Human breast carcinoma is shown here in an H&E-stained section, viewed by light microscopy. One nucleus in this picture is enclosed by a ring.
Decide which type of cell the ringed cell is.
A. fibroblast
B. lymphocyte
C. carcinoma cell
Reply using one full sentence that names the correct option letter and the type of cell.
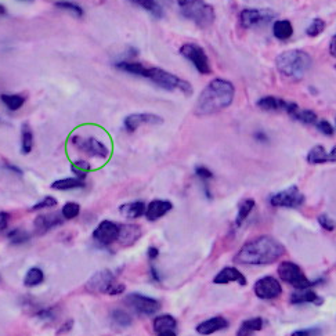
Since the ringed cell is a lymphocyte, option B is correct.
